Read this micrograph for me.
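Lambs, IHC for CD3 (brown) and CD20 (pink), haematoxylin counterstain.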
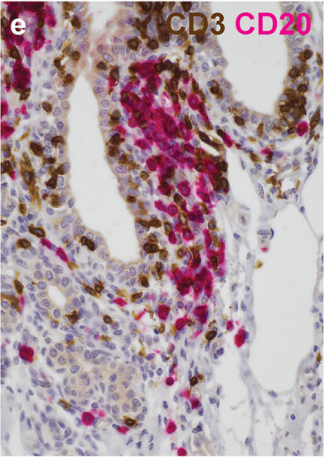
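A dense aggregate of small round lymphocytes lies beneath an epithelial lining beside a lumen. Pink-stained lymphocytes are packed in the centre of the aggregate, while brown-stained lymphocytes lie around it and also among the adjacent epithelial cells. The surrounding stroma is loose with pale spaces.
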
